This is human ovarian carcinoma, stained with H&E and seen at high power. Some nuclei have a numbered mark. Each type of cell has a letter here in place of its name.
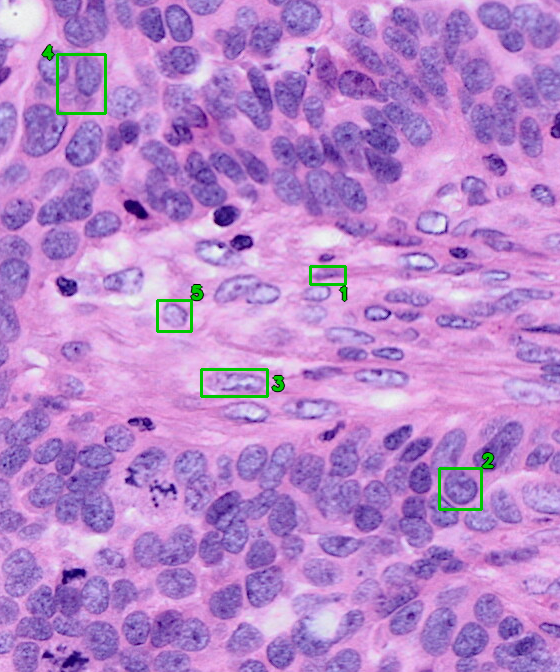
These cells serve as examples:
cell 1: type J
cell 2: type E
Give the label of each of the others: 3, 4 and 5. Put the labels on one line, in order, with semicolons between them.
type J; type E; type J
